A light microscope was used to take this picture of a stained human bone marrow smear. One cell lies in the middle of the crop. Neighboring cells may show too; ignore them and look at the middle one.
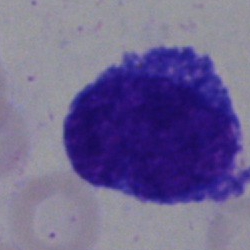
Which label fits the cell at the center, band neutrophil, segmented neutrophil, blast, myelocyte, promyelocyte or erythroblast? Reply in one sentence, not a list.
By classification, the middle cell of this crop is a blast.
